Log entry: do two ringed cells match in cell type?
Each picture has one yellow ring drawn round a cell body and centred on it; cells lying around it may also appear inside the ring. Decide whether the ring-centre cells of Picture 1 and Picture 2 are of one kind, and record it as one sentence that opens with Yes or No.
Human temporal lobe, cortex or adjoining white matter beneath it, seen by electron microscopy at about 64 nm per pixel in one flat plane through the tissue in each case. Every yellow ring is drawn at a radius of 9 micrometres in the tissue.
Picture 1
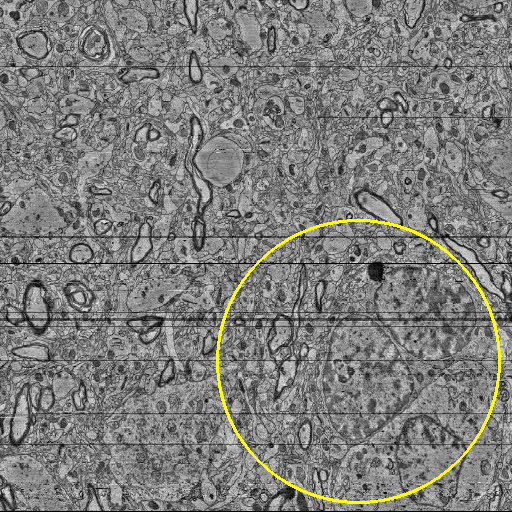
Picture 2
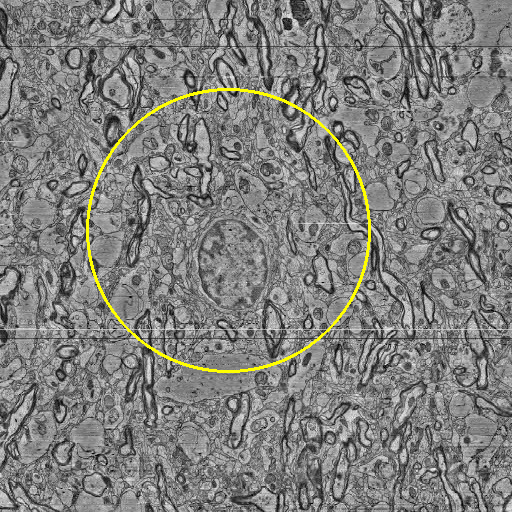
Yes, the cells at the ring centres of the two pictures belong to one kind.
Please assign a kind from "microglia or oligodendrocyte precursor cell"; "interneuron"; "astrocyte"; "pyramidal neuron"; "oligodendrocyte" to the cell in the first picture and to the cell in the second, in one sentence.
Both cells are the same kind, each one being an oligodendrocyte.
